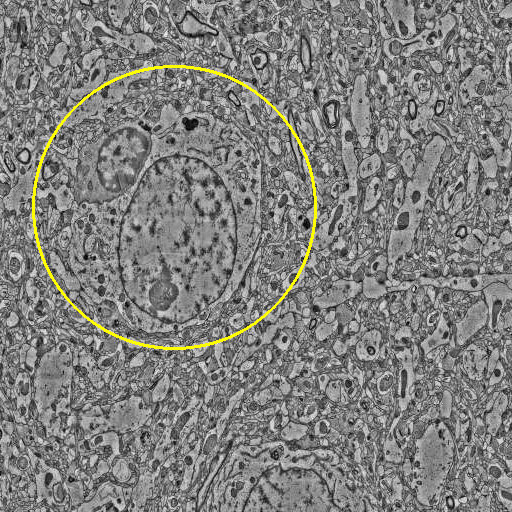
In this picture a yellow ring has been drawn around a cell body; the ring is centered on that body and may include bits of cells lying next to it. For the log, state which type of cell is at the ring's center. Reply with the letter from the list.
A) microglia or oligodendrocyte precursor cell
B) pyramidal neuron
B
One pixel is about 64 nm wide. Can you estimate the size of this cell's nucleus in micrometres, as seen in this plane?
The ringed cell's nucleus measures approximately 11 by 8 micrometres in this plane.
